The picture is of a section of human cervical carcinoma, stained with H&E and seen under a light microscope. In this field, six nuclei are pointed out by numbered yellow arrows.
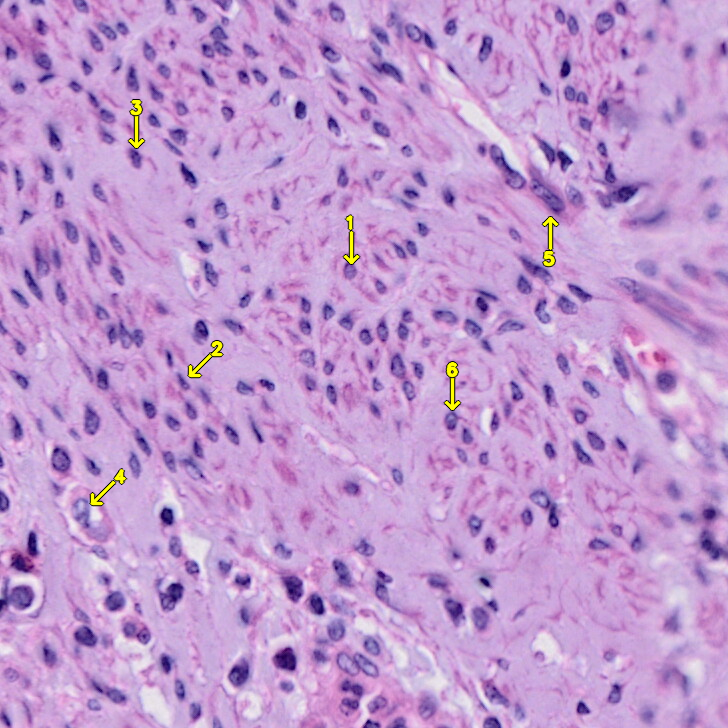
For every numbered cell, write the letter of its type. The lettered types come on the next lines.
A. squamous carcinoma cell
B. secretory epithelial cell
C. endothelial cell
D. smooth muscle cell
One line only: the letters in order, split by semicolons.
D; D; D; C; C; D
